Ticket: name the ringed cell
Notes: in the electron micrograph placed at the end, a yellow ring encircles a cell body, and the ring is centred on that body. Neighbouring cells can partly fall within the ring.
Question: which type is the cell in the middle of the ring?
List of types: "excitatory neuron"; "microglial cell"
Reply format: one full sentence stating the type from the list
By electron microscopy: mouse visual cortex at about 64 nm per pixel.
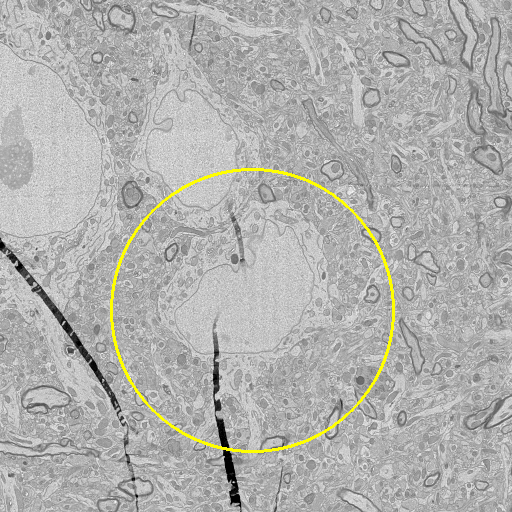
The cell sitting at the centre of the yellow ring is an excitatory neuron.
